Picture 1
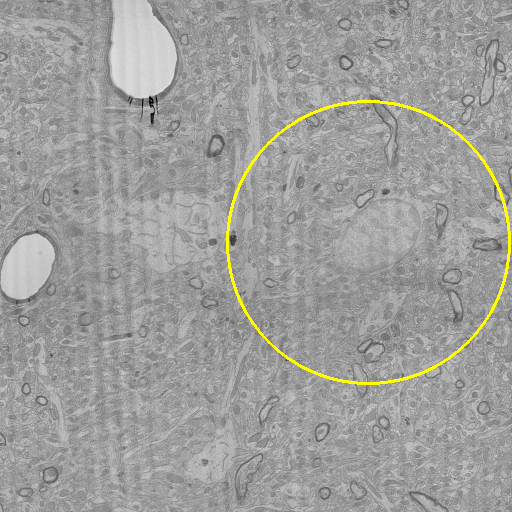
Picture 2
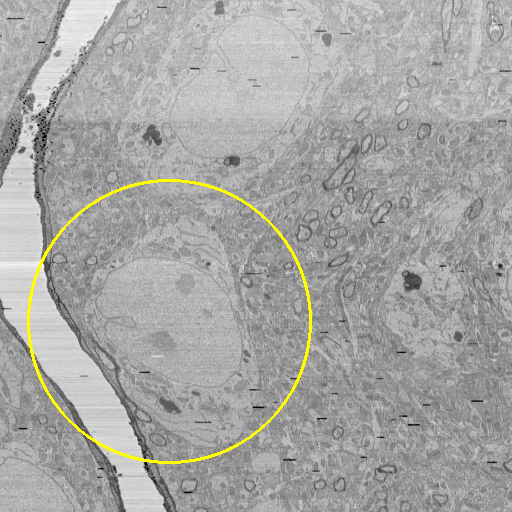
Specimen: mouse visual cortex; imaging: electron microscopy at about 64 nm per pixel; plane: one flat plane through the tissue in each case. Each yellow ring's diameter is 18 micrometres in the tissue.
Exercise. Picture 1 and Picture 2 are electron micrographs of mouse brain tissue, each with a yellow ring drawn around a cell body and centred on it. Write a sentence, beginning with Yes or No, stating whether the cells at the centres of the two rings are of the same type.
No, the cells at the centres of the rings are of two types.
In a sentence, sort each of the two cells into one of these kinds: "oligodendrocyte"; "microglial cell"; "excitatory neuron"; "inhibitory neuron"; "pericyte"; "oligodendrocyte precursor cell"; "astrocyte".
The first of the two cells is an oligodendrocyte, and the second is an excitatory neuron.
